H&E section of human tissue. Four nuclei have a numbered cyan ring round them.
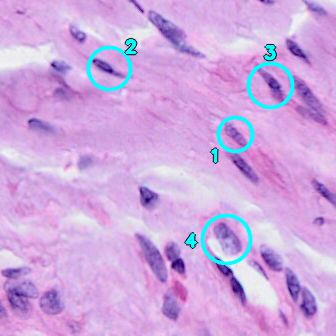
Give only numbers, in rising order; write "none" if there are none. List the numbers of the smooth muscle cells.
1, 3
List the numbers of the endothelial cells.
4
